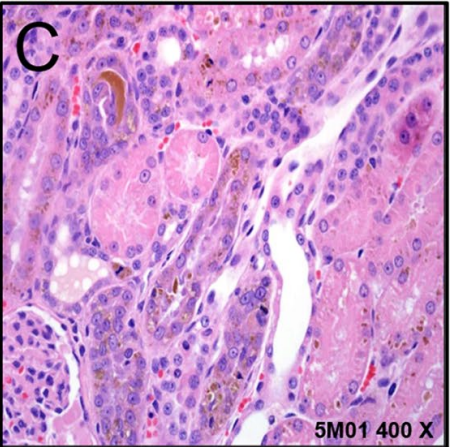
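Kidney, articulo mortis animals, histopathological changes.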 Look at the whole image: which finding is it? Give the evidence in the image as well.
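Brown granular pigment lies in the cytoplasm of many tubular cells. A brown cast-like body sits in one tubule lumen.
Answer: pigmentation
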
